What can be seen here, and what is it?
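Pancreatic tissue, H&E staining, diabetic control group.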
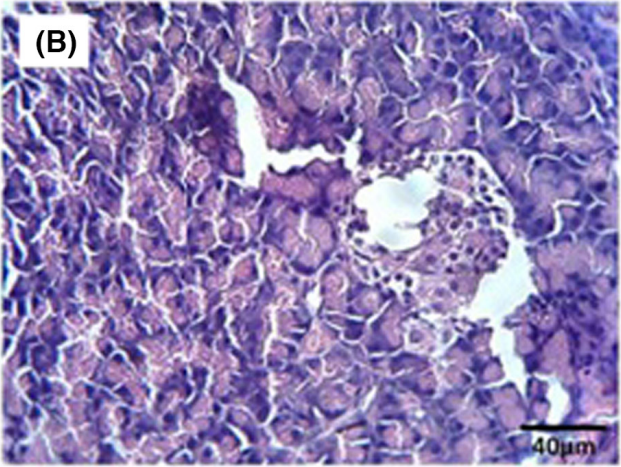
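Pancreas in which a pale cell cluster lies among purple exocrine acini and is disrupted. The cluster contains a large clear empty space and its cells are few, loosely spaced and irregular. Clear clefts extend from the cluster into the surrounding tissue. The acini around it keep their packed arrangement of pyramidal cells with purple nuclei.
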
